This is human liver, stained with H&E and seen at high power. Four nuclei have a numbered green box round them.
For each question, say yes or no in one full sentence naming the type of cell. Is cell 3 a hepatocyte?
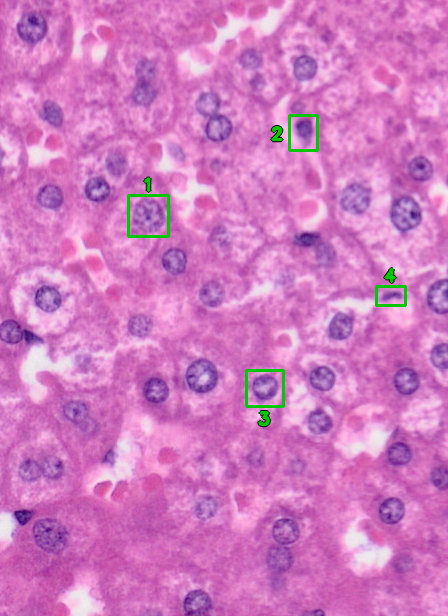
Yes, the cell with the number 3 is a hepatocyte.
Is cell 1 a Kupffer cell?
No, sorry, the cell labelled 1 is not a Kupffer cell; it is a hepatocyte.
